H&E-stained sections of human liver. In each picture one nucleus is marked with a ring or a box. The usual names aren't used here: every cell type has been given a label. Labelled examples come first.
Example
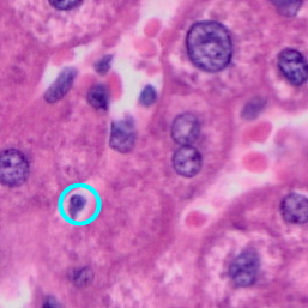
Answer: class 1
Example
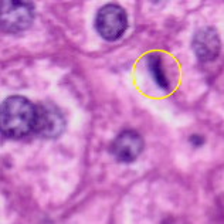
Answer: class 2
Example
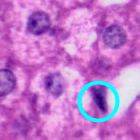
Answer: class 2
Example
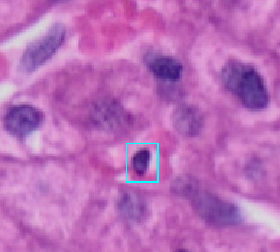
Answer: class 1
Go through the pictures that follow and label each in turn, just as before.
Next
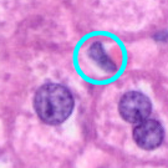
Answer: class 2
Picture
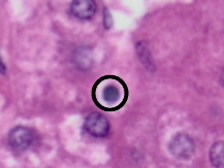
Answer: class 1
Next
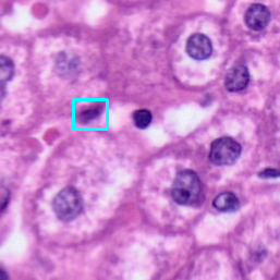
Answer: class 2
